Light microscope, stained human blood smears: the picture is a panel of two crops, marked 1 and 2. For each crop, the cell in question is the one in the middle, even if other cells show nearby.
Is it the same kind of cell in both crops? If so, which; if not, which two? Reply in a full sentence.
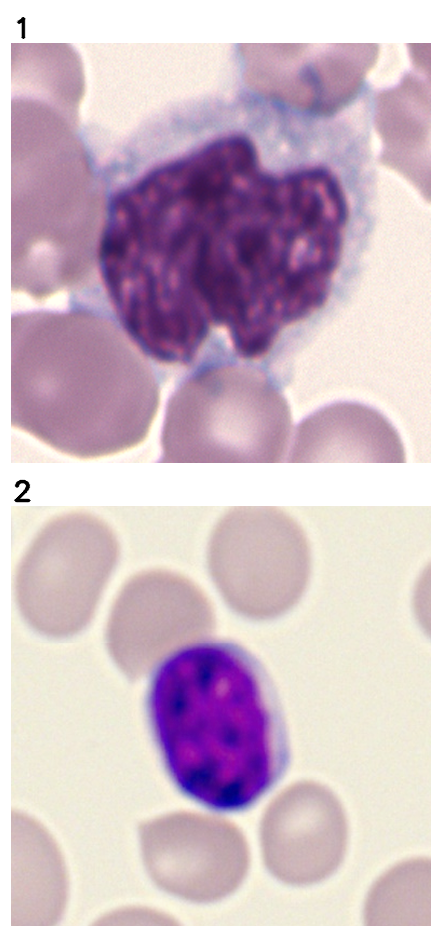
No, just to correct that: crop 1 shows a monocyte, crop 2 shows a lymphocyte.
